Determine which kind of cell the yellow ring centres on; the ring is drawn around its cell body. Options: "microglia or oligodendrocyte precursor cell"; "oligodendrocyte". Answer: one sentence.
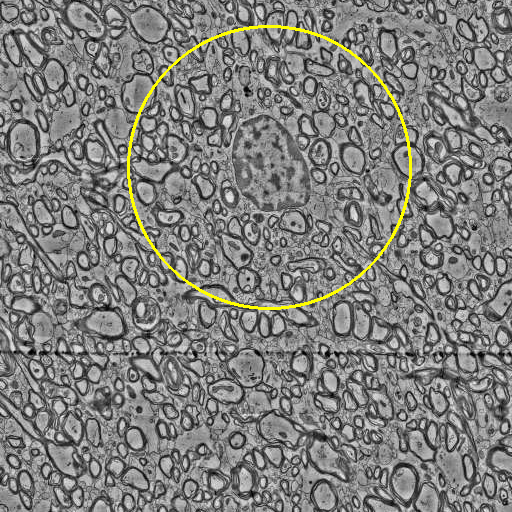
The ring centres on a microglial cell or oligodendrocyte precursor cell.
